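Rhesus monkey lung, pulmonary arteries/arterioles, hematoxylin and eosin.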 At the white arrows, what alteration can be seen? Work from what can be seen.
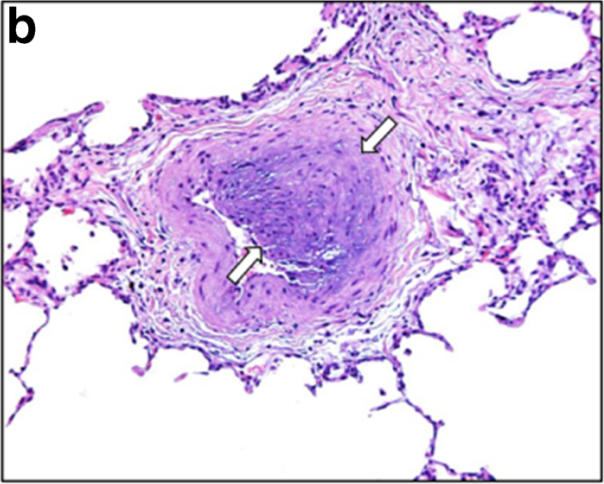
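A dense, cellular inner layer nearly fills the vessel. Only a narrow crescent-shaped lumen remains.
Thickening of the intimal layer.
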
